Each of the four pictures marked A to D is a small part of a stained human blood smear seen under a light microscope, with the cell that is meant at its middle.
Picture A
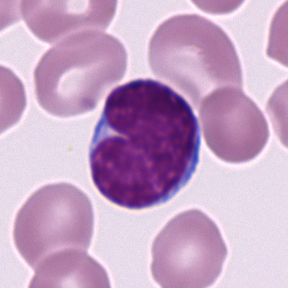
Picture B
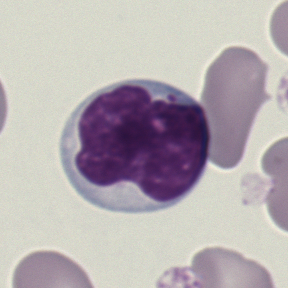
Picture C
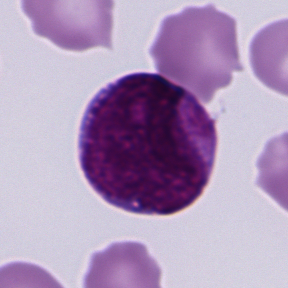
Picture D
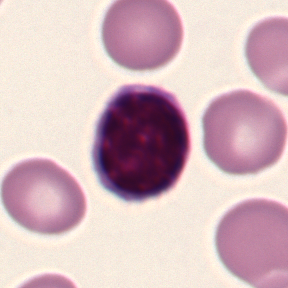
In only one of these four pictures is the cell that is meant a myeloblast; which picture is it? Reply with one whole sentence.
Picture C shows the myeloblast.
